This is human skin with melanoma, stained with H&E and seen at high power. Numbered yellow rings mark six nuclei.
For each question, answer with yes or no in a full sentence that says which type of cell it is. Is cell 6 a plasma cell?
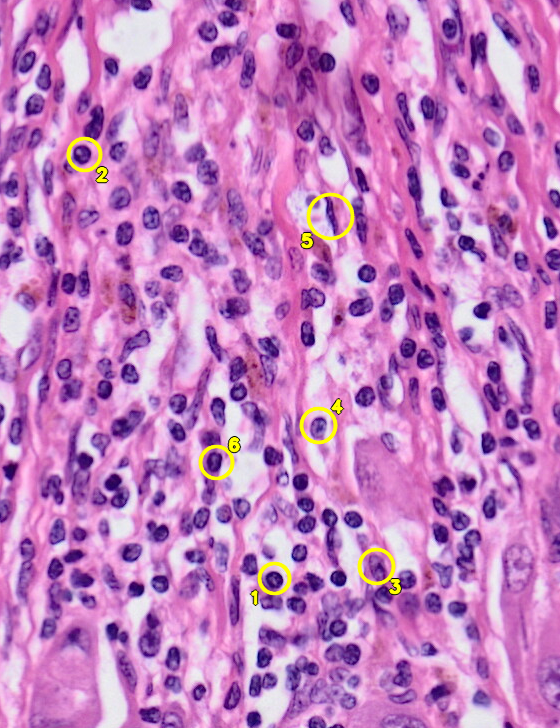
Yes, that is correct: the cell numbered 6 is a plasma cell.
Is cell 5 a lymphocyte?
No, it is a fibroblast or myofibroblast that is marked with number 5, not a lymphocyte.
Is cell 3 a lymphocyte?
No, number 3 is not a lymphocyte; it is a macrophage or monocyte.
